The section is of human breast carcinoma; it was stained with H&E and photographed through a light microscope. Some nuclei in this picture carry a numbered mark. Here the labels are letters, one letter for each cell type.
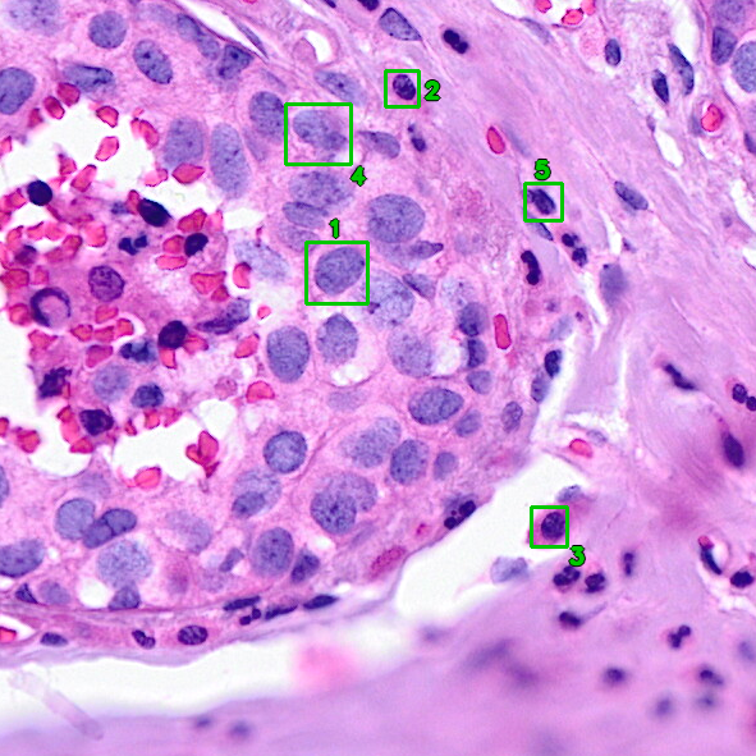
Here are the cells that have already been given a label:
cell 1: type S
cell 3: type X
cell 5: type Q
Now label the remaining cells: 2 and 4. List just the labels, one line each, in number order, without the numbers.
type X
type S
